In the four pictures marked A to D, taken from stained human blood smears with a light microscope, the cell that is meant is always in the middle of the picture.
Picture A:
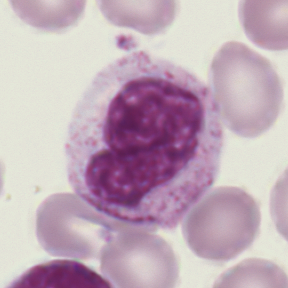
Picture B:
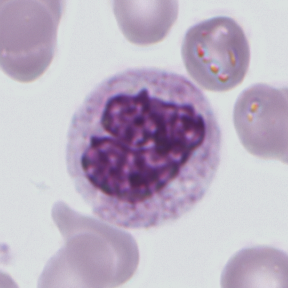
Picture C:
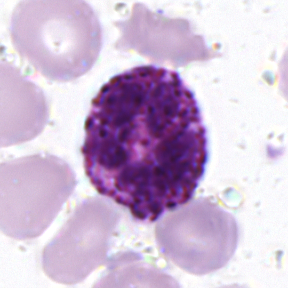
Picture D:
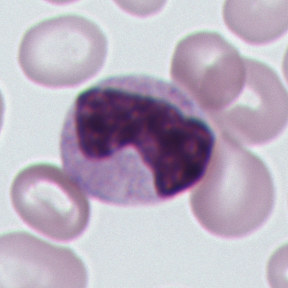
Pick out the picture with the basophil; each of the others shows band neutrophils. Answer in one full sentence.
It is picture C that shows the basophil.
